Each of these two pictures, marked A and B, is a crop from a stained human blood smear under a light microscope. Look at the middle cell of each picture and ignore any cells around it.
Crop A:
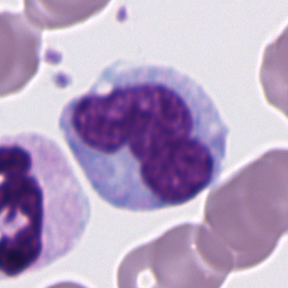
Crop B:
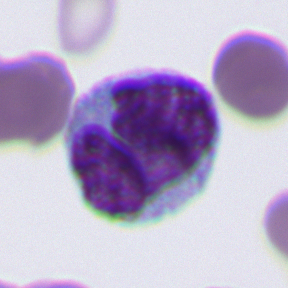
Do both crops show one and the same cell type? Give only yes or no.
yes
